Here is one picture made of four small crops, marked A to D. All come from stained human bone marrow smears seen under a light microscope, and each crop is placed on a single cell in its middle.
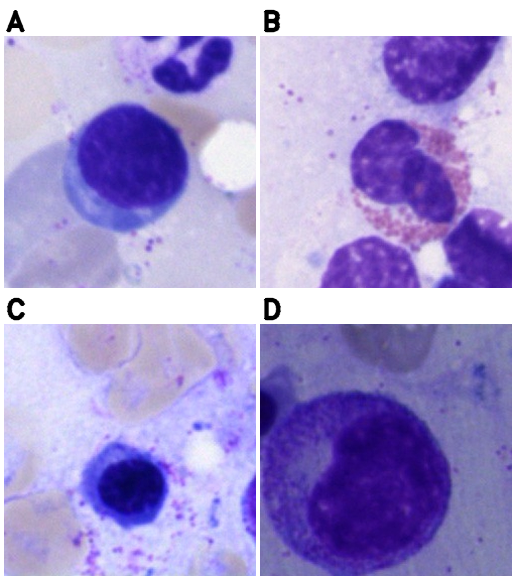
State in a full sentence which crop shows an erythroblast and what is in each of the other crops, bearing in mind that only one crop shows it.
There is an erythroblast in crop C, while crop A is a lymphocyte, crop B is an eosinophil and crop D is a myelocyte.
